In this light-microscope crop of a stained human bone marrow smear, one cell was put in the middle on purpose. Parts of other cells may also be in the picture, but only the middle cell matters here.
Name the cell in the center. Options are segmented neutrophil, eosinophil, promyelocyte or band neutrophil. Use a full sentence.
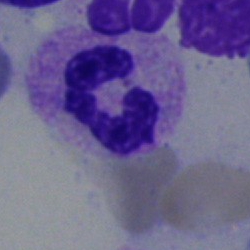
Here the centrally located cell is a segmented neutrophil.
